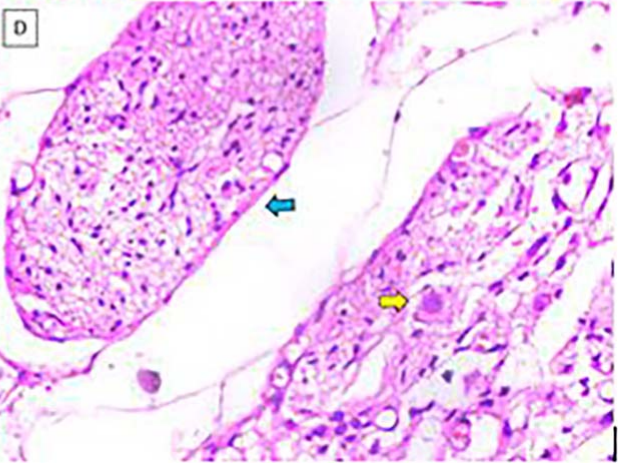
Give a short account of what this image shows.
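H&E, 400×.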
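Here a nerve trunk sits beside tissue holding ganglion cells. The nerve trunk is a sharply bounded bundle surrounded by a clear space. It holds many slender, wavy, spindle-shaped dark nuclei scattered through pale pink fibrillary stroma. Across the space, looser tissue holds a large ganglion cell. It has abundant pink cytoplasm and a round nucleus and stands out clearly from the small spindle cells around it. A further rounded cell with pink cytoplasm lies in the clear space between the two.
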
